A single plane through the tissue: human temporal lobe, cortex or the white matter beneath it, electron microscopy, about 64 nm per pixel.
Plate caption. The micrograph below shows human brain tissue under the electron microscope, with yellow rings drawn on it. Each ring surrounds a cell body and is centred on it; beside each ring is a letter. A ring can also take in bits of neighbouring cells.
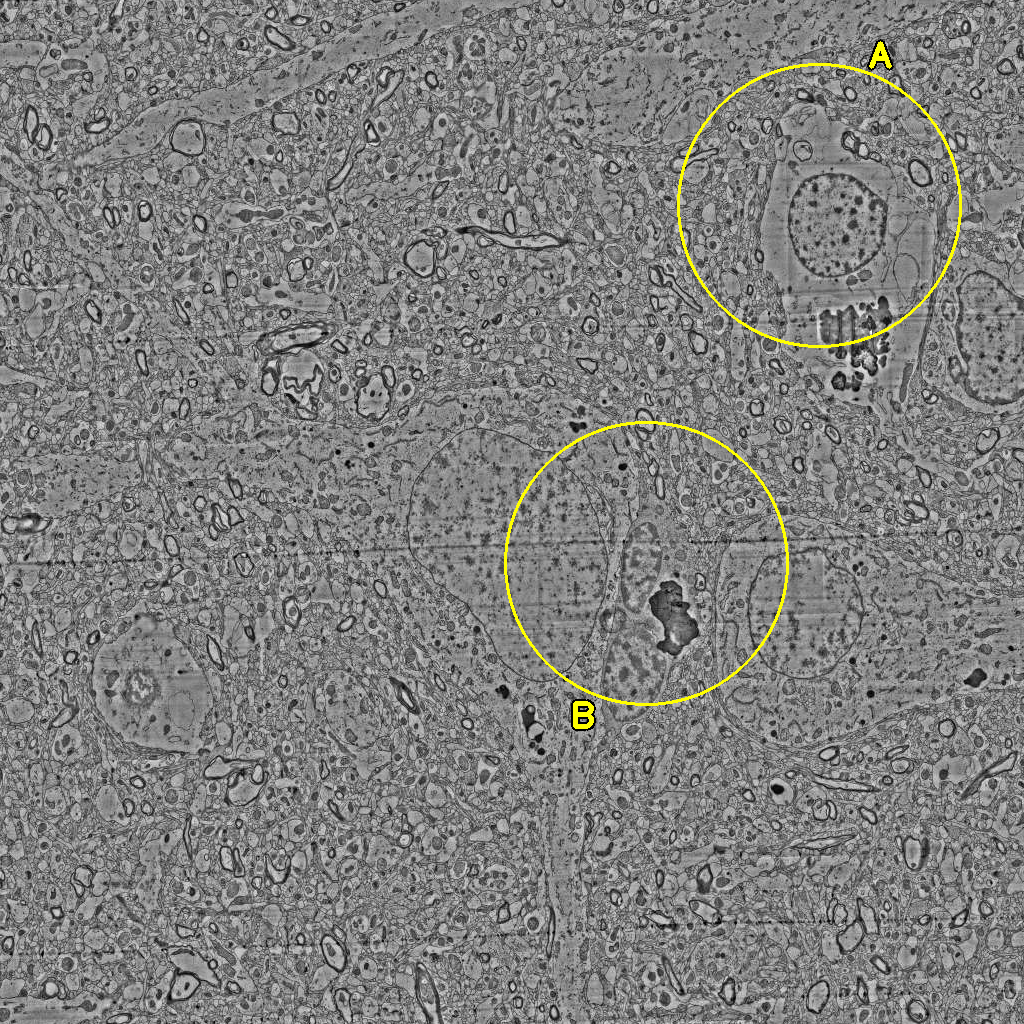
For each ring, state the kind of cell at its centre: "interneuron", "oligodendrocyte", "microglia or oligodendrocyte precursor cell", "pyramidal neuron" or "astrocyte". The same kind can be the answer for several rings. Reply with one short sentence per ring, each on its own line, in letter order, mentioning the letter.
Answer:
Ring A is drawn around an astrocyte.
Ring B is drawn around an oligodendrocyte.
